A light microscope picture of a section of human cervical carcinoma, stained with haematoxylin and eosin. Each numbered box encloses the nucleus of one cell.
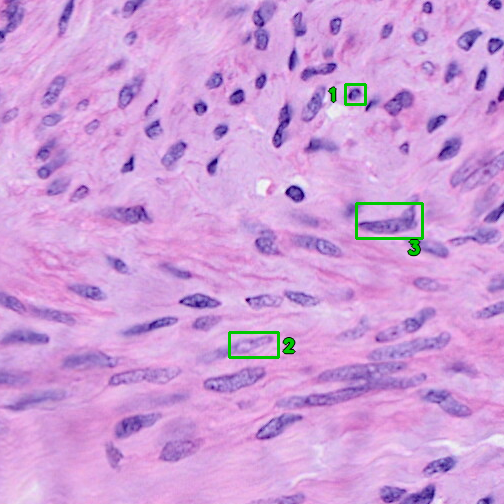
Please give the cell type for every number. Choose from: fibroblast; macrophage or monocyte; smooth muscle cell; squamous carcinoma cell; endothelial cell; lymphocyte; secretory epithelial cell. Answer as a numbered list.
1. smooth muscle cell
2. smooth muscle cell
3. fibroblast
